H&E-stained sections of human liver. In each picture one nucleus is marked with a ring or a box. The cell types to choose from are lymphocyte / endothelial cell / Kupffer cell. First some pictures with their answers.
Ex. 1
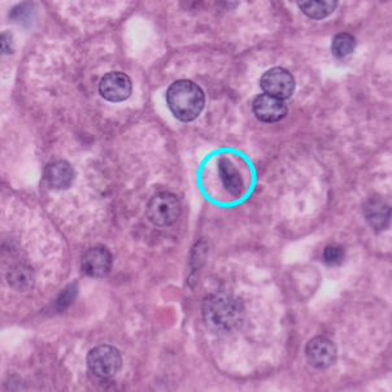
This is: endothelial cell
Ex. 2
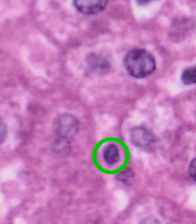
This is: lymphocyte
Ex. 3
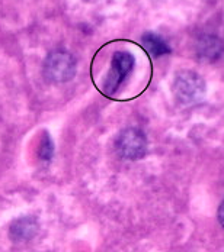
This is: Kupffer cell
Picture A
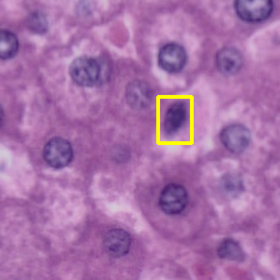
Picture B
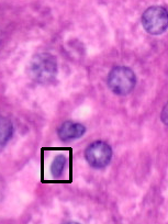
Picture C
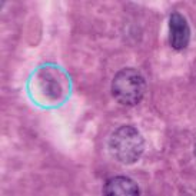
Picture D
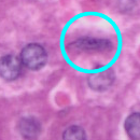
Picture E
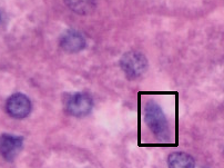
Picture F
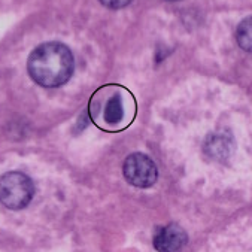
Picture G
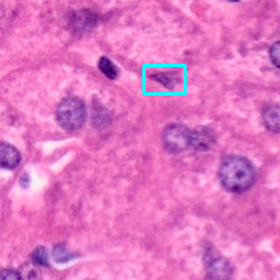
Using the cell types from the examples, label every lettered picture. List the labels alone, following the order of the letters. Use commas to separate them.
Kupffer cell, lymphocyte, Kupffer cell, Kupffer cell, Kupffer cell, lymphocyte, endothelial cell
